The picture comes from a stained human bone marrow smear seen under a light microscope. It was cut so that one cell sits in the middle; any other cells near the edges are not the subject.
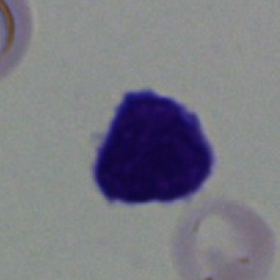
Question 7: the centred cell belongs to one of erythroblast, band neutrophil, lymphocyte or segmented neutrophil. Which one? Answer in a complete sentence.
As for the cell in the middle, it is a lymphocyte.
